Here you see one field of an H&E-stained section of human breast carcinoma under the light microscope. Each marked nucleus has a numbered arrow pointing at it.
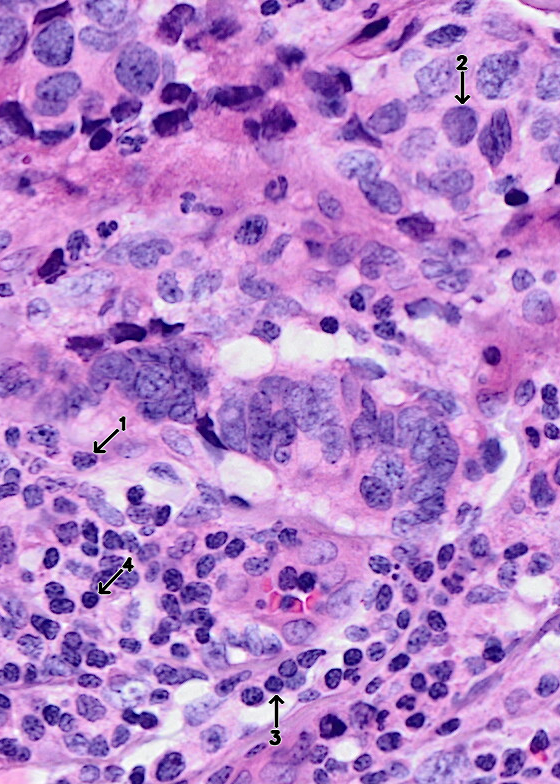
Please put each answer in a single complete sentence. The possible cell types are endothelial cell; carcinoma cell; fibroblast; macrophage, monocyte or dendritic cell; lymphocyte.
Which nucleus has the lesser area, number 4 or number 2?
Number 4 is smaller, since number 2 takes up about 4 times as much area.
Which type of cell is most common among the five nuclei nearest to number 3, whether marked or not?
Around number 3, most of the five nearest nuclei are those of lymphocytes.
